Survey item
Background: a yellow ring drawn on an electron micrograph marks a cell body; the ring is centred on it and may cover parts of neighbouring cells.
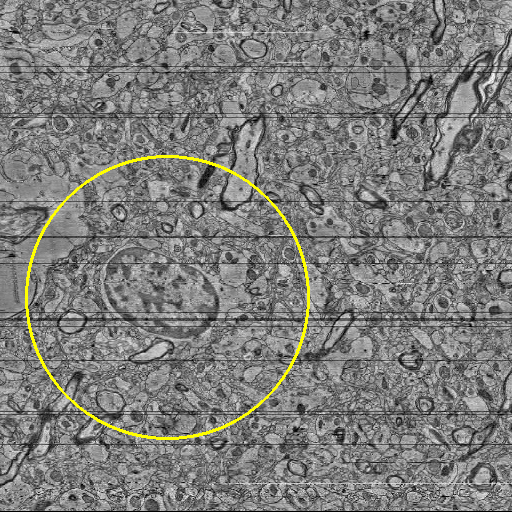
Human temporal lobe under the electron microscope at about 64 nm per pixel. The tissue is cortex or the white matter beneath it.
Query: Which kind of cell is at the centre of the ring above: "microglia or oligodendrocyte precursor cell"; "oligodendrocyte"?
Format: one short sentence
The cell in the middle of the ring is a microglial cell or oligodendrocyte precursor cell.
